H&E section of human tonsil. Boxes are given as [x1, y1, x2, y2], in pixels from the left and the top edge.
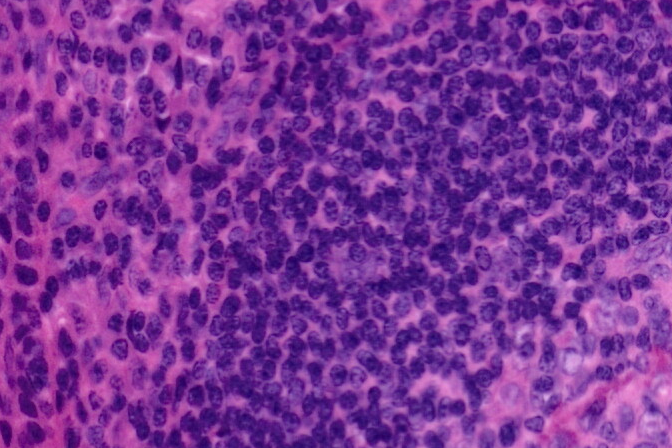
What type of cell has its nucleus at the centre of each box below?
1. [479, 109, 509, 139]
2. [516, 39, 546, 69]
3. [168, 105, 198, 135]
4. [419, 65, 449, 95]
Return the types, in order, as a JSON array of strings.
["small lymphocyte", "small lymphocyte", "plasma cell", "small lymphocyte"]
